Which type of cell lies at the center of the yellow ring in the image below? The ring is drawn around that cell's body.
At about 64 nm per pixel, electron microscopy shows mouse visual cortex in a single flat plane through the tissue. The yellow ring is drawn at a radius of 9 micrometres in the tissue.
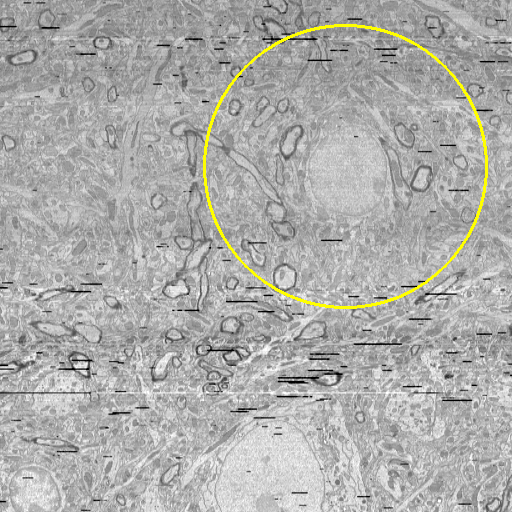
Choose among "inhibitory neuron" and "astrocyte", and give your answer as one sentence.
The cell body at the center belongs to an astrocyte.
